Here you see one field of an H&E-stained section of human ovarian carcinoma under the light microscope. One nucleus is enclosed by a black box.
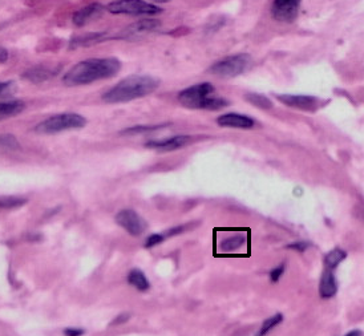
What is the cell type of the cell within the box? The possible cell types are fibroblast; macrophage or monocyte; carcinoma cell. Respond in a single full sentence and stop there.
Labelled by cell type, the cell within the box is a fibroblast.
